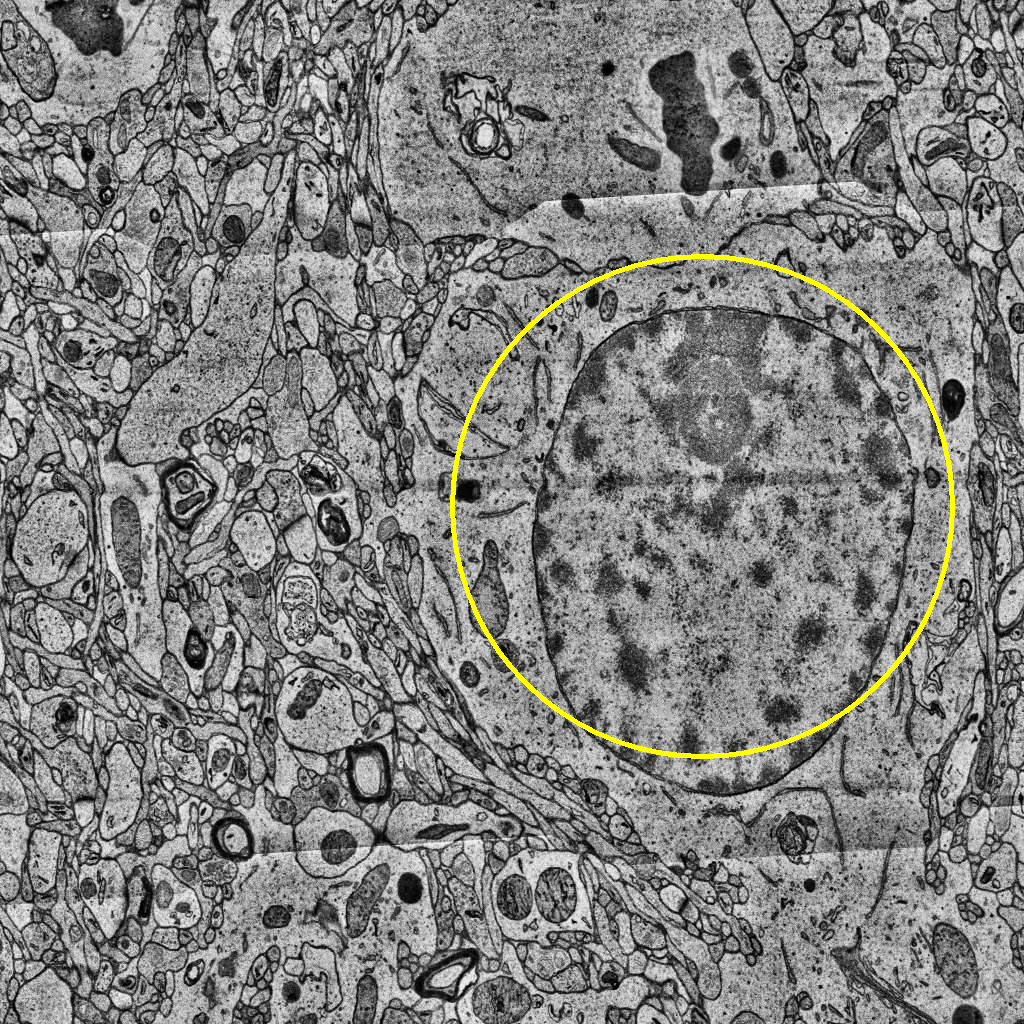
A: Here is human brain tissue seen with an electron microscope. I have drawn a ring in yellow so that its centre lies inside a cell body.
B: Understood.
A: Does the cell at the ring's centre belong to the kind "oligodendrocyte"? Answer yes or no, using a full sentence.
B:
No, the cell at the centre of your yellow ring belongs to another kind.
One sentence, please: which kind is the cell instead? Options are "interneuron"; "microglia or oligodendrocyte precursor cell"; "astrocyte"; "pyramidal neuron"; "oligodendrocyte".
The cell in question here is an astrocyte.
